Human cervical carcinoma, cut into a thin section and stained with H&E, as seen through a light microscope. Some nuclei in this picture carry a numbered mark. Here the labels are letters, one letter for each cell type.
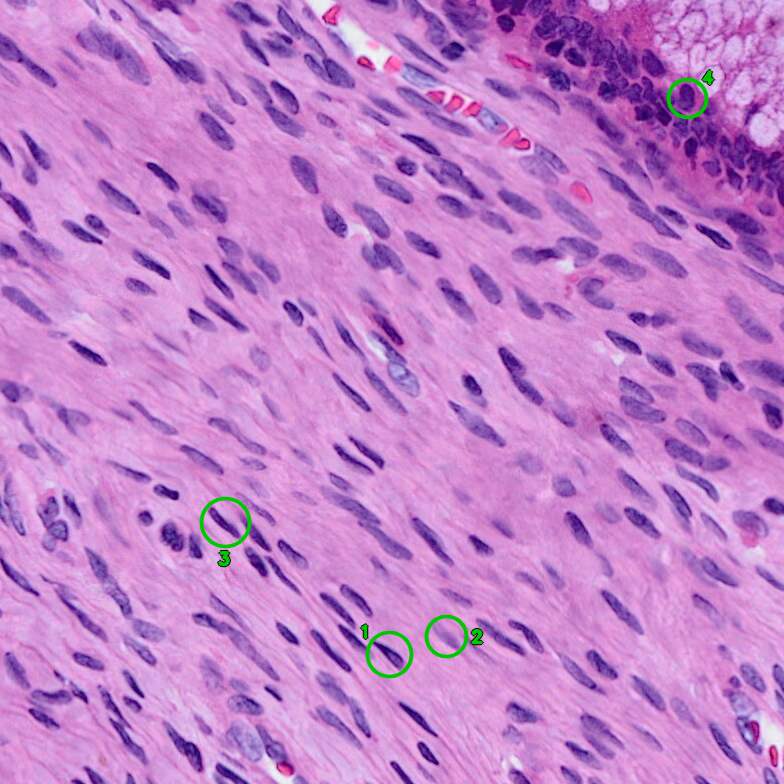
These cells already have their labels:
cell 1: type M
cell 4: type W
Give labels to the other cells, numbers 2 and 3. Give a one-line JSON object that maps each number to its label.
{"2": "type M", "3": "type M"}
